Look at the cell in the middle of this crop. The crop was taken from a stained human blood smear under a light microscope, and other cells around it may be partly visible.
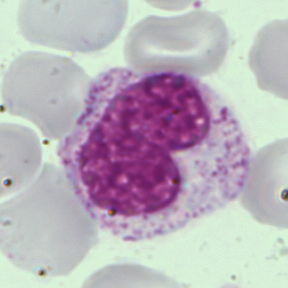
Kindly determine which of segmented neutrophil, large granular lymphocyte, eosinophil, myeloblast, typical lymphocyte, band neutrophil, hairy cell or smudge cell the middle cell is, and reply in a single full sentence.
The crop centres on a single cell, and that cell is a band neutrophil.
